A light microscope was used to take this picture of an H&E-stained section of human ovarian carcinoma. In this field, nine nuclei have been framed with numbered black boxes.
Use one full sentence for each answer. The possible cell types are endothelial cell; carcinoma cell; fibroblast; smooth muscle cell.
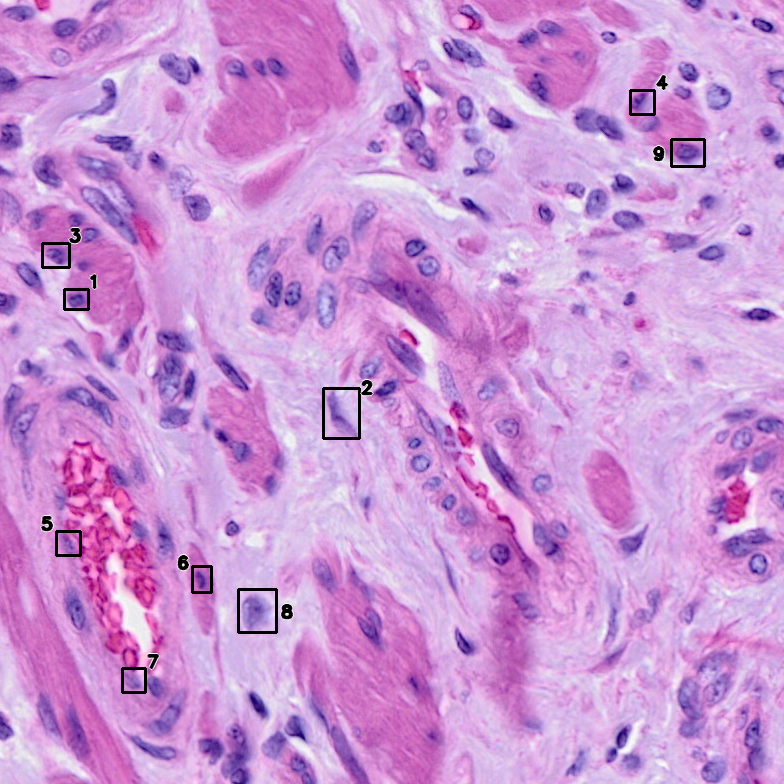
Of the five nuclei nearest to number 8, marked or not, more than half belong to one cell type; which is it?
Of the five nuclei nearest to number 8, most belong to smooth muscle cells.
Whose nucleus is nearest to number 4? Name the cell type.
Closest to number 4 lies the nucleus of a smooth muscle cell.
